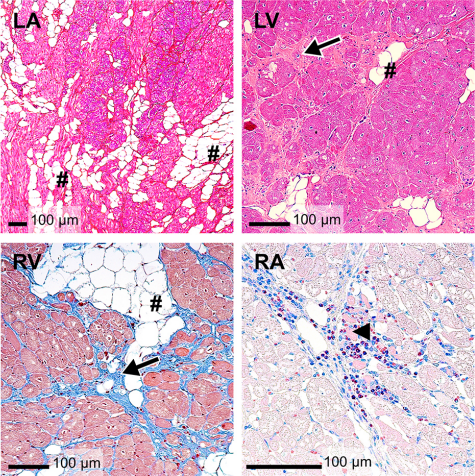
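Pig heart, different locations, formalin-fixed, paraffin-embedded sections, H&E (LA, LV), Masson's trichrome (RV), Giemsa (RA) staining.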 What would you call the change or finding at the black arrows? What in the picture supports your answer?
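Fibrosis. In the trichrome image the arrow points to broad blue-stained bands between the red muscle fibres. In the pink image the arrow points to a paler pink fibrous strand between muscle bundles.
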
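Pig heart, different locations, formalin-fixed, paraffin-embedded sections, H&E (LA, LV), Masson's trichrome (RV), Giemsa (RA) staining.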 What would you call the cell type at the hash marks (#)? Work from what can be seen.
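The hash marks lie in clusters of large empty, rounded spaces with thin walls. These clear spaces lie among and replace the stained muscle tissue. On this evidence: adipocytes.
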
